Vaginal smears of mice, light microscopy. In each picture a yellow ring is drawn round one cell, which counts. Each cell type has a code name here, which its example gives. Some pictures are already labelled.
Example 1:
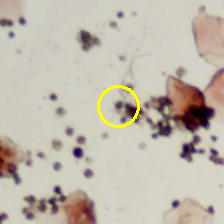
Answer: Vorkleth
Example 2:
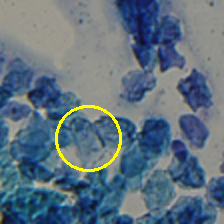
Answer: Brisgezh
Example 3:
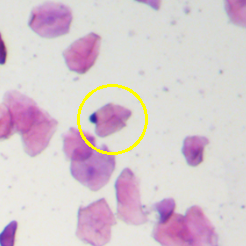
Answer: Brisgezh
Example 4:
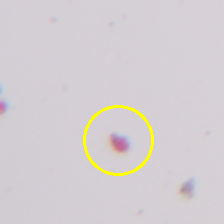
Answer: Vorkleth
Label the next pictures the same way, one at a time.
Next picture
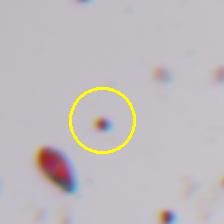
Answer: Vorkleth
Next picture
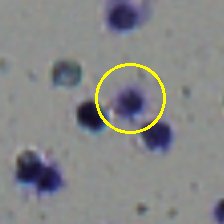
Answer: Vorkleth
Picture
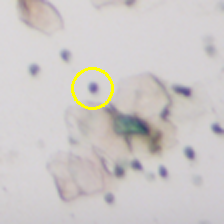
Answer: Vorkleth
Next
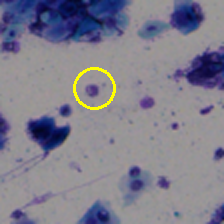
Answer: Vorkleth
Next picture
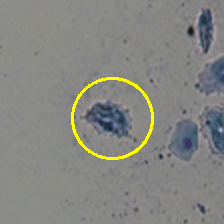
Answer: Brisgezh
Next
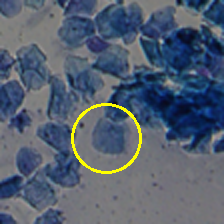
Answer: Brisgezh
